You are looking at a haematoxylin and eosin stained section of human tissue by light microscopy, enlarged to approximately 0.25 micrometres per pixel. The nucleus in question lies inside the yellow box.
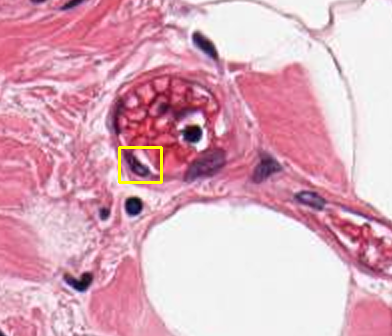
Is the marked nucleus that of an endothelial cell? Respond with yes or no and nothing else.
yes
